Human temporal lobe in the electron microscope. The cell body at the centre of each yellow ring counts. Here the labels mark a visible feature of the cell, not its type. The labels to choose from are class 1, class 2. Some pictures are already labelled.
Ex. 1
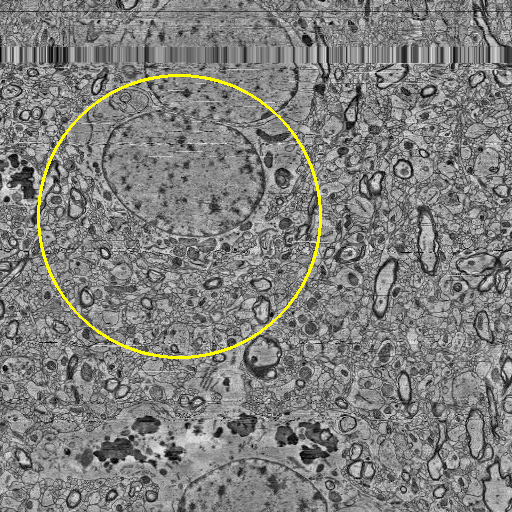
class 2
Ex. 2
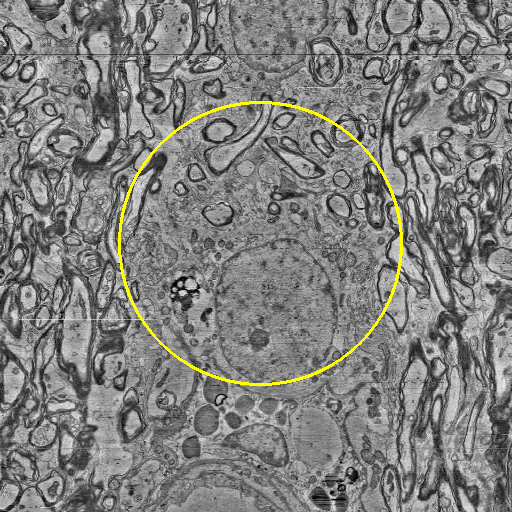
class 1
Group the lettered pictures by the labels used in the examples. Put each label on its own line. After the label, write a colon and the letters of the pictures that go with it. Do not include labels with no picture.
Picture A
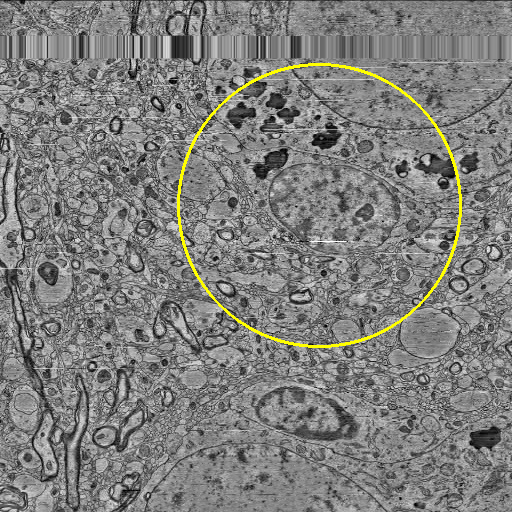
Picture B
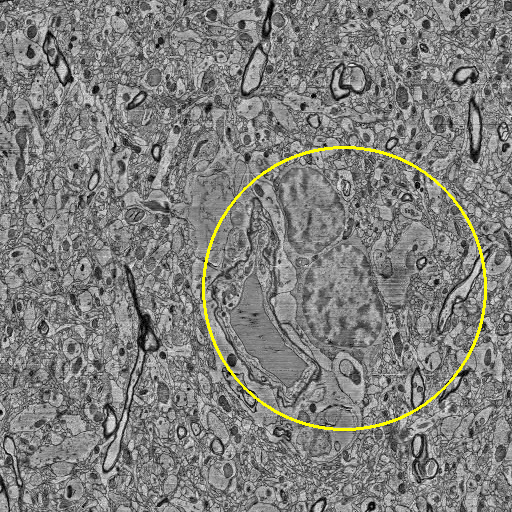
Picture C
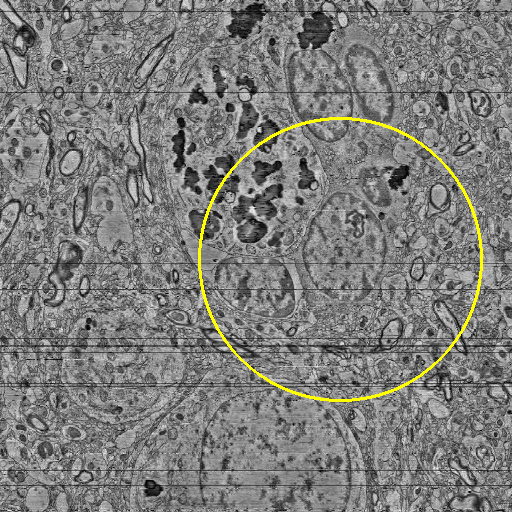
class 1: A, C
class 2: B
